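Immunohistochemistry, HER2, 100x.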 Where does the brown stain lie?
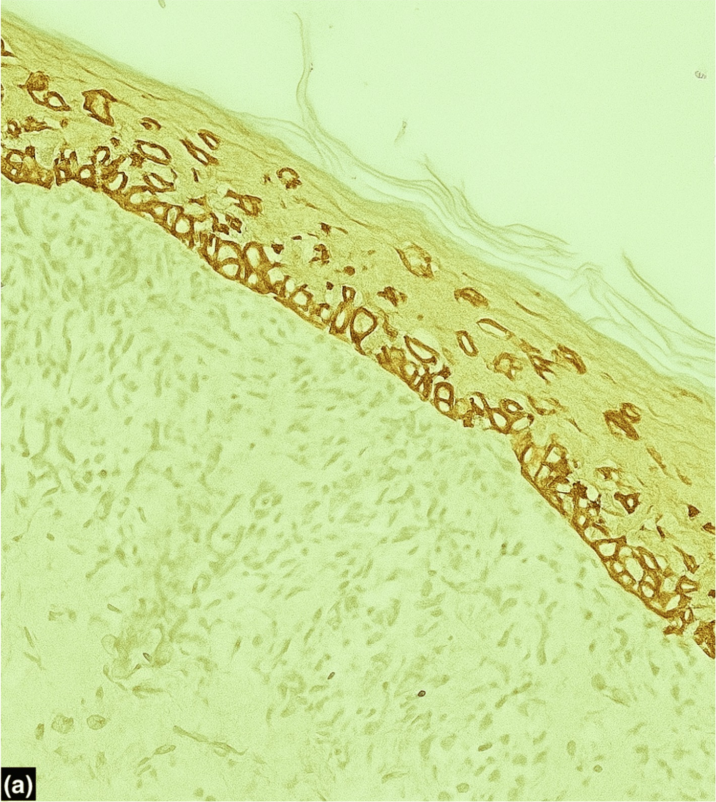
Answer: In the epidermis.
